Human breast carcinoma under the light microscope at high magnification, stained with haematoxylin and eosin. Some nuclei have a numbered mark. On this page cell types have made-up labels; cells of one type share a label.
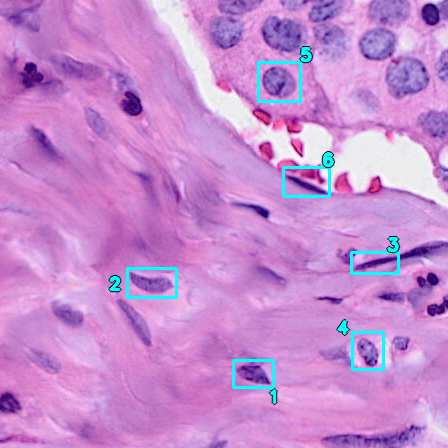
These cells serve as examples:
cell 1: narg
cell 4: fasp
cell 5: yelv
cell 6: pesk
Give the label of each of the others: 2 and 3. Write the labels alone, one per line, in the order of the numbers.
narg
narg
